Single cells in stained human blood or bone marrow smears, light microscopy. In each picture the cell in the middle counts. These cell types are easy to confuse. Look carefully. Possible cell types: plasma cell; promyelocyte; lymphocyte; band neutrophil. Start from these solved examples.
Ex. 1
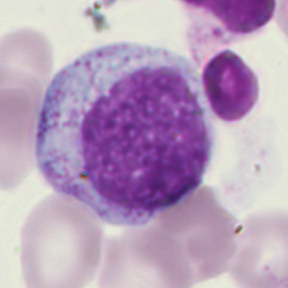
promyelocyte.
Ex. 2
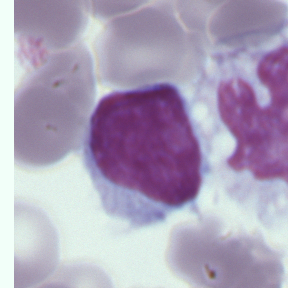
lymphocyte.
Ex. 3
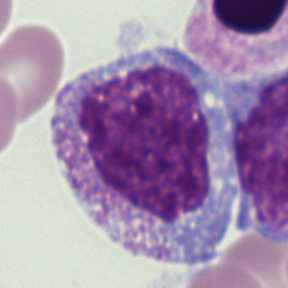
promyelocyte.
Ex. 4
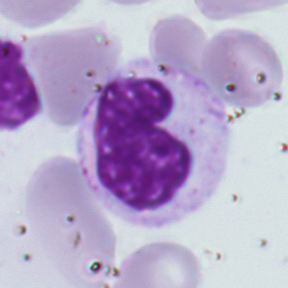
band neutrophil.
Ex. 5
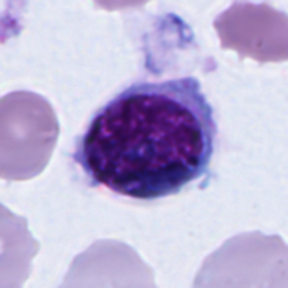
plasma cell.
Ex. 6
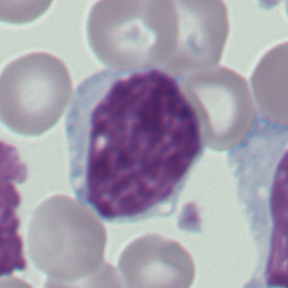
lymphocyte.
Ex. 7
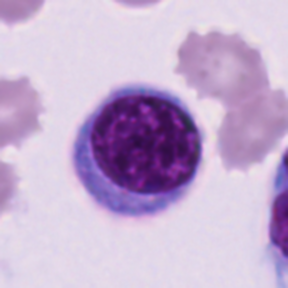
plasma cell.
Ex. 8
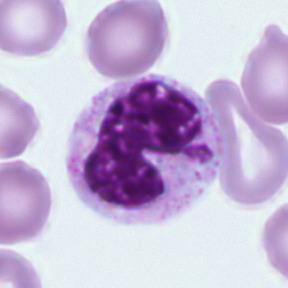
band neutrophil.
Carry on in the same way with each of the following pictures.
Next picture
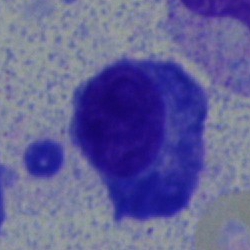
plasma cell.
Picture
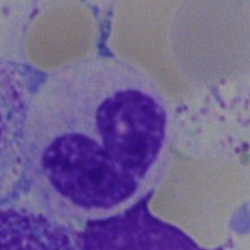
band neutrophil.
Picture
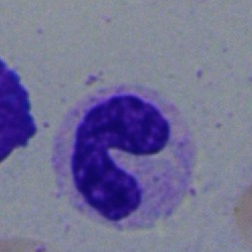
band neutrophil.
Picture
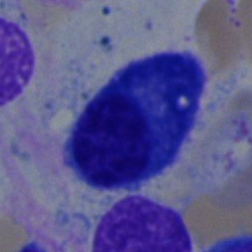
plasma cell.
